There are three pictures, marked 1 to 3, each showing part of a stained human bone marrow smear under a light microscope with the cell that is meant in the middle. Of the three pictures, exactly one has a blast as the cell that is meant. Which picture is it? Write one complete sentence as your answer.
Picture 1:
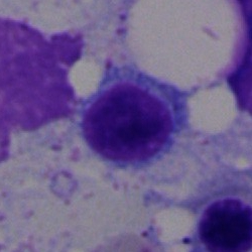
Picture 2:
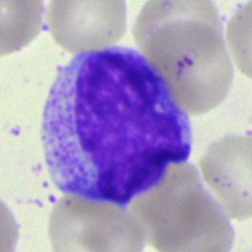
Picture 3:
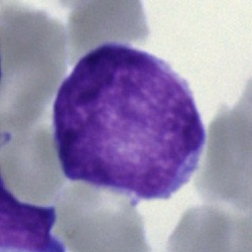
The blast is the one in picture 3.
